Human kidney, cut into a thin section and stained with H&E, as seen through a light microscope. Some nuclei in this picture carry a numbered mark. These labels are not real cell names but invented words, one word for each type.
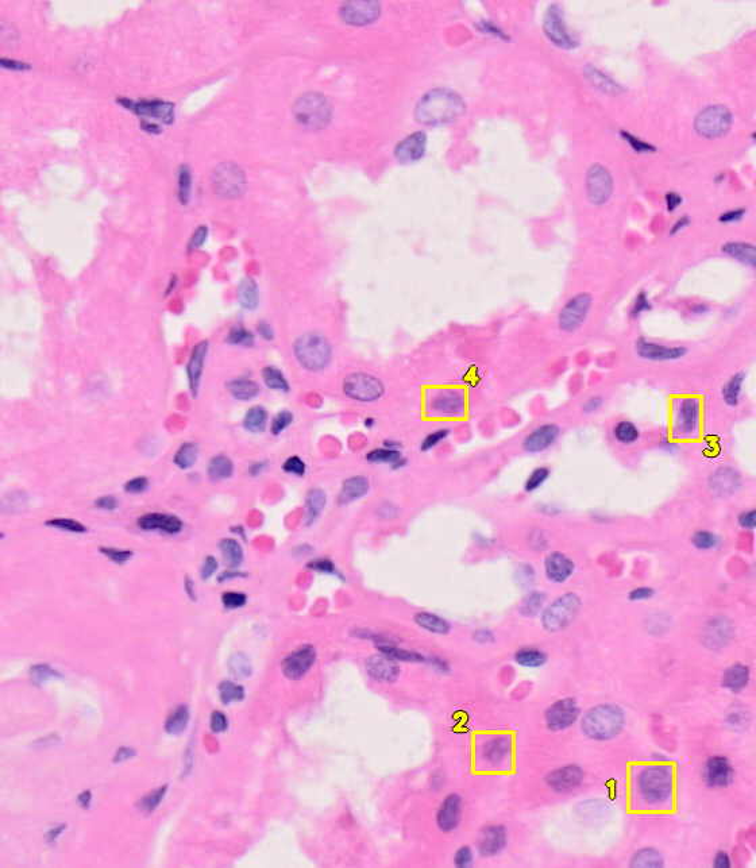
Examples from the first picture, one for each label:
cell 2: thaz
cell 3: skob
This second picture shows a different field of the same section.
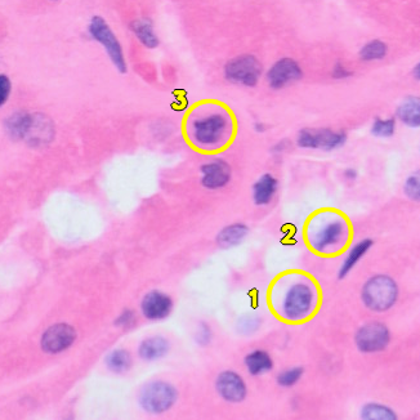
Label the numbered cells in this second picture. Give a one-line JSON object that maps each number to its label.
{"1": "skob", "2": "skob", "3": "thaz"}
